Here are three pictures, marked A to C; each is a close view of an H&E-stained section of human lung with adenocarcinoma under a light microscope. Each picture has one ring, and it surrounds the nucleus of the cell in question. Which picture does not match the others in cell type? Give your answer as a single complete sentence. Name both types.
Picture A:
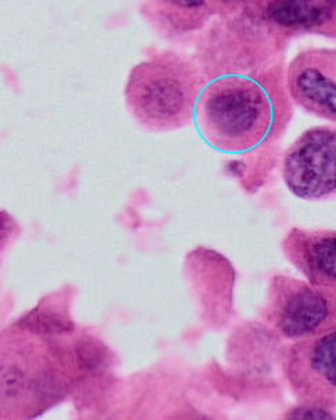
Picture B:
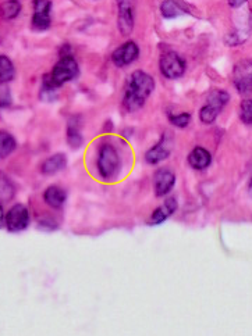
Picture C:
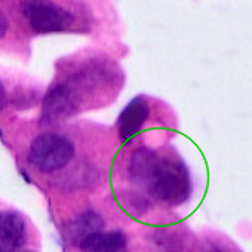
All pictures except B show carcinoma cells; picture B shows a plasma cell.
